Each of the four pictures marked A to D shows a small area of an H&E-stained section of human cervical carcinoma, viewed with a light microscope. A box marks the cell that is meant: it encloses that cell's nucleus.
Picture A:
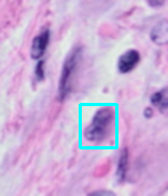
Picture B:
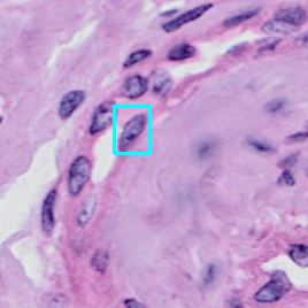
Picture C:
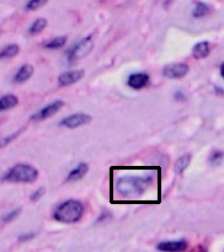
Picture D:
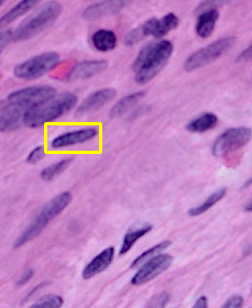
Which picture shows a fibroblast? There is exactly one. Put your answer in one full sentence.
The cell in picture D is the fibroblast.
